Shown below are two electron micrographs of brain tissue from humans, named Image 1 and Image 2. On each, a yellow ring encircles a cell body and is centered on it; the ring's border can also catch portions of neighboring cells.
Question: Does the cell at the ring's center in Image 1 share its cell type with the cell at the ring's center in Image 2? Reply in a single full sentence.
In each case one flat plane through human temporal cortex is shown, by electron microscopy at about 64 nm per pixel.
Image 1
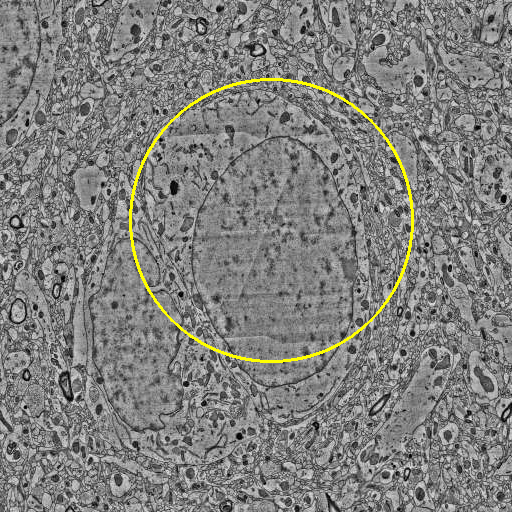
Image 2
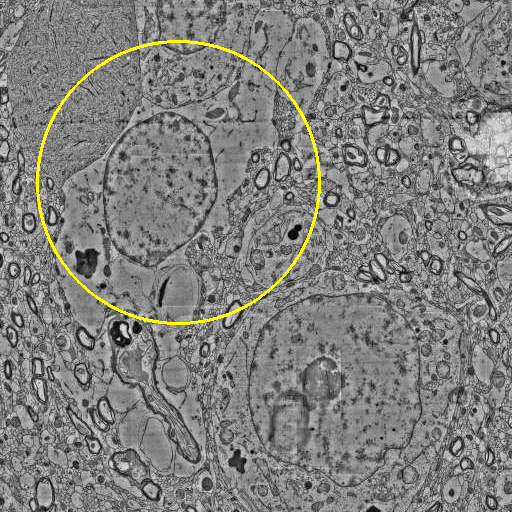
No, the two cells at the ring centers, in Image 1 and Image 2, are of two cell types.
